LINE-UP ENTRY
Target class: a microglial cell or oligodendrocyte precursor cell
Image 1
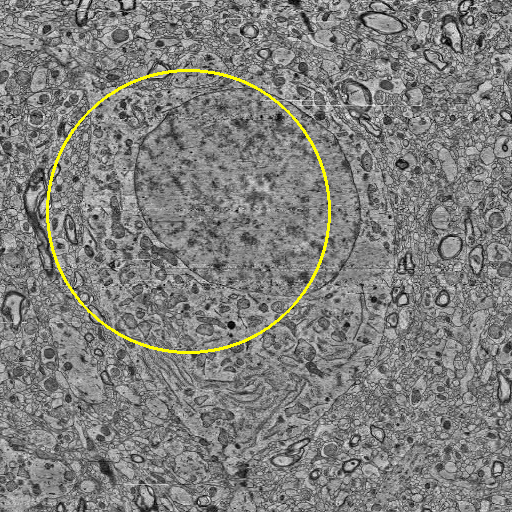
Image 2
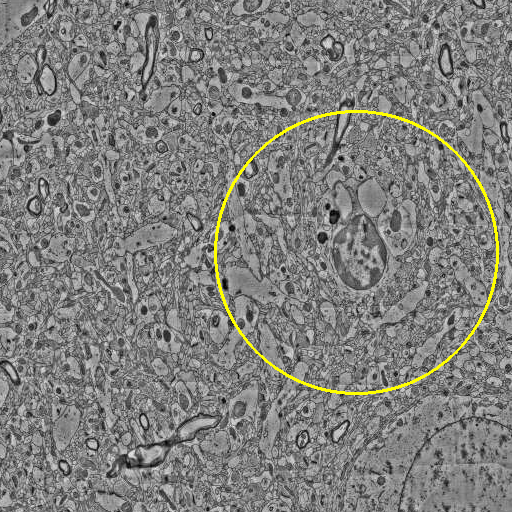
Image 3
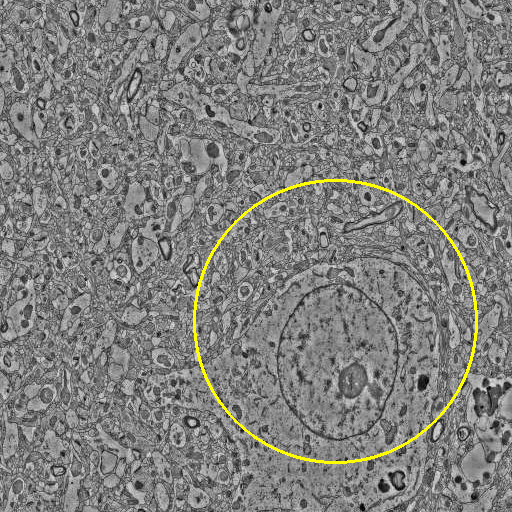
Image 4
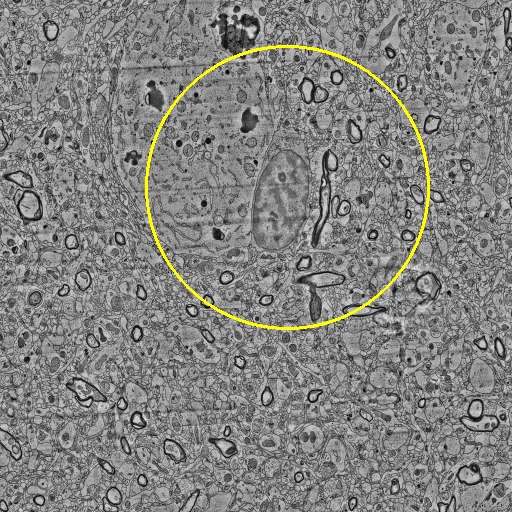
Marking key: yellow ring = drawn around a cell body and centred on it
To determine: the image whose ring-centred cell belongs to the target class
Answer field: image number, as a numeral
2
